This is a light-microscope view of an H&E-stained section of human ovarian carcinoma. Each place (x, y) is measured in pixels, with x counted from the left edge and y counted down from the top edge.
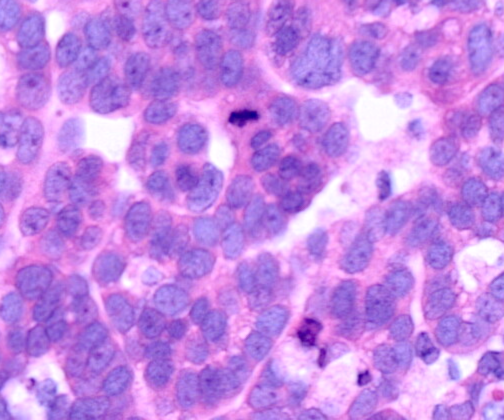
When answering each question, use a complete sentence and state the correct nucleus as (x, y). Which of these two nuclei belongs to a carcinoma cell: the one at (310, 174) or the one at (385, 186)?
Of the two nuclei, the one at (310, 174) belongs to a carcinoma cell.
